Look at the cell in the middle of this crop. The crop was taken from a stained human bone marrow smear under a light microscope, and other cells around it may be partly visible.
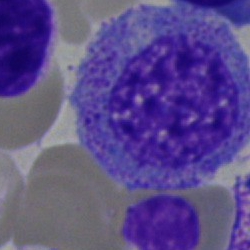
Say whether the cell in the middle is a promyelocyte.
no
